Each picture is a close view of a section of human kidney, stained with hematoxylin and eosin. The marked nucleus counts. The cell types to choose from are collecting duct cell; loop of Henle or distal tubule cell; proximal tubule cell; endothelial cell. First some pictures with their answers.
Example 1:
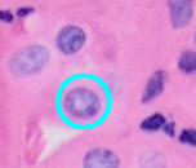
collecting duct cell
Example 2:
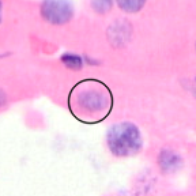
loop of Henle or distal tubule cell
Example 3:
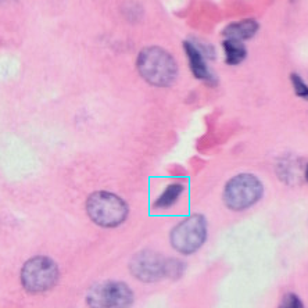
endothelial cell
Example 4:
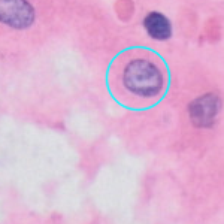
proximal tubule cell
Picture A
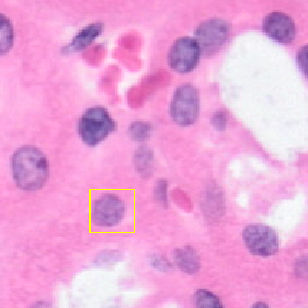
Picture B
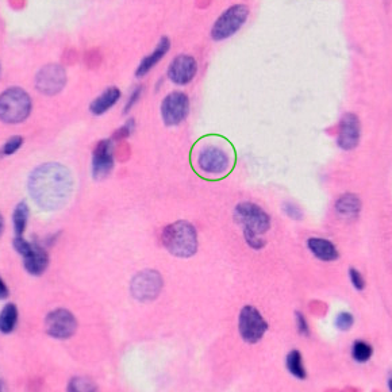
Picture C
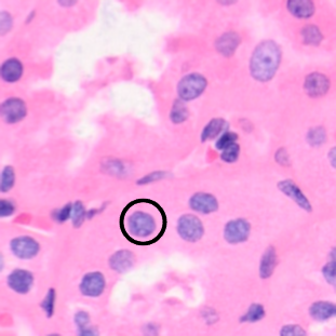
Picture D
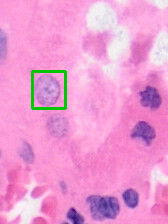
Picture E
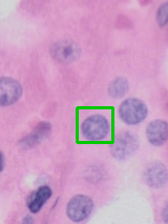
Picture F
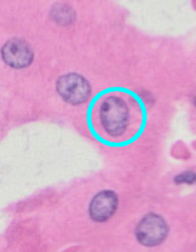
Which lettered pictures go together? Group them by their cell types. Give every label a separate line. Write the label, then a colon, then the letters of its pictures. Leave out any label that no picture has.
collecting duct cell: E
loop of Henle or distal tubule cell: A, B, C
proximal tubule cell: D, F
